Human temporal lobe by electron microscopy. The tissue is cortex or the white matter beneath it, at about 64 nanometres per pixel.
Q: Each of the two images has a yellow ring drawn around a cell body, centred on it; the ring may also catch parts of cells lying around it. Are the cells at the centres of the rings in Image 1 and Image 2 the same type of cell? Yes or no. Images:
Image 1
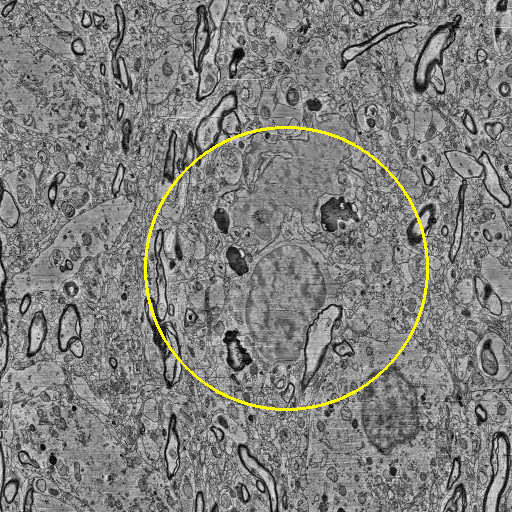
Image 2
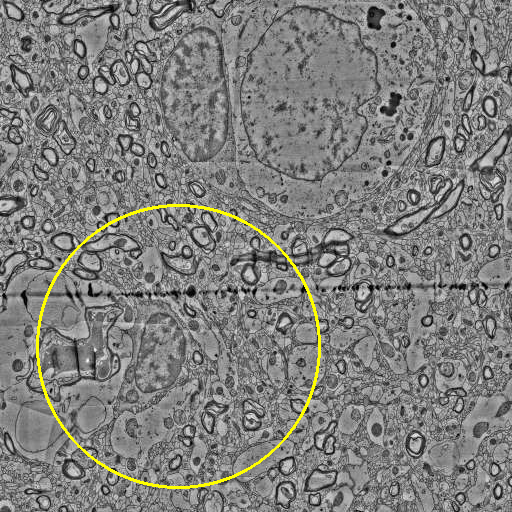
yes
